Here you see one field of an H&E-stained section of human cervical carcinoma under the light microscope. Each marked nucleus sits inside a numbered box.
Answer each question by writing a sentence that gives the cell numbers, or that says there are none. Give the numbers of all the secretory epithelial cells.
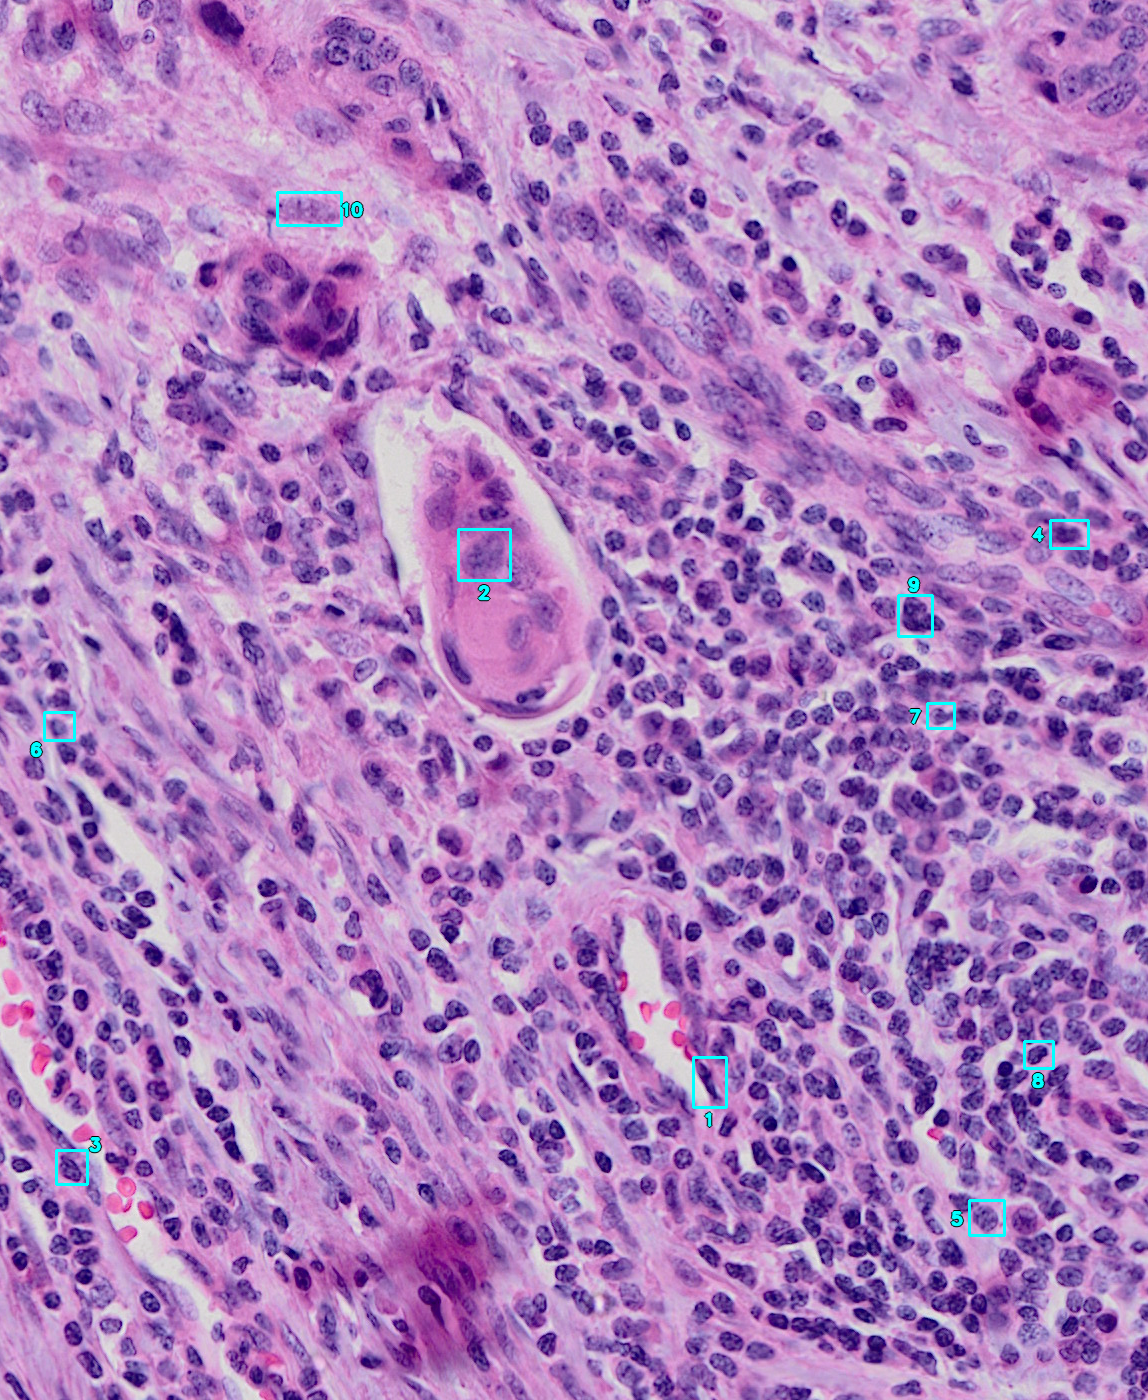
The numbered cells are not secretory epithelial cells, not even one of them.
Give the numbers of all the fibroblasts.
Only one marked cell, number 10, is a fibroblast.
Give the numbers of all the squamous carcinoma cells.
Just one numbered cell is a squamous carcinoma cell, and that cell is number 2.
